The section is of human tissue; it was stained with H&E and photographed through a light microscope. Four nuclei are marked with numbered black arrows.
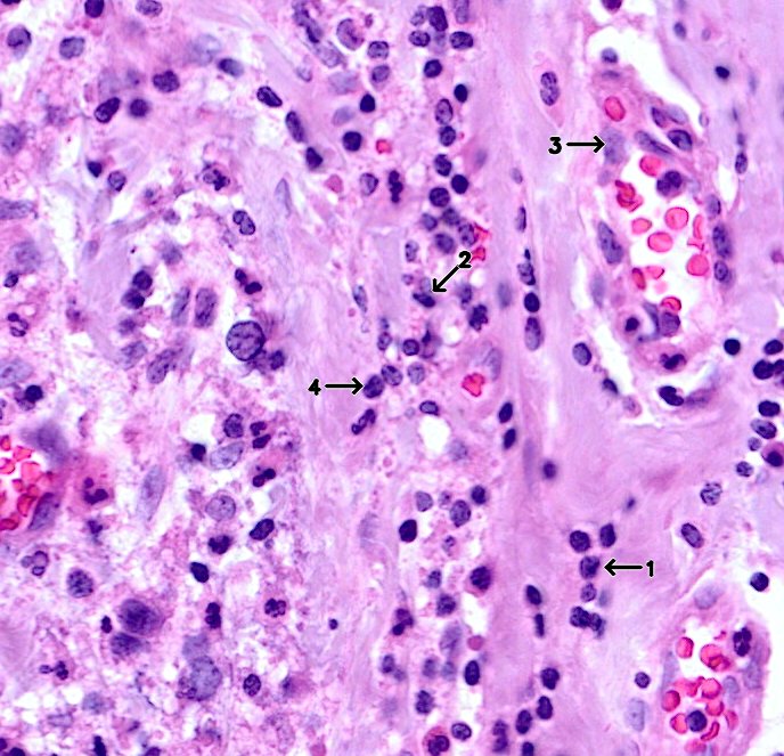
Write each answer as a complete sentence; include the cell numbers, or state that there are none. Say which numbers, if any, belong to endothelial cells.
Cell number 3 alone is an endothelial cell; the rest are not.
